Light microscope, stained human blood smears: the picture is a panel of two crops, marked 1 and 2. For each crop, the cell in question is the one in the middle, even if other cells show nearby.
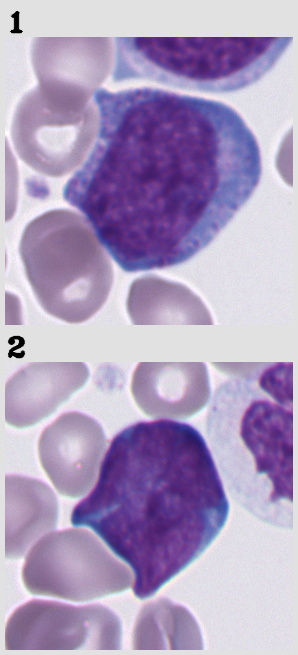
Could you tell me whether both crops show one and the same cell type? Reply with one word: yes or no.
no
